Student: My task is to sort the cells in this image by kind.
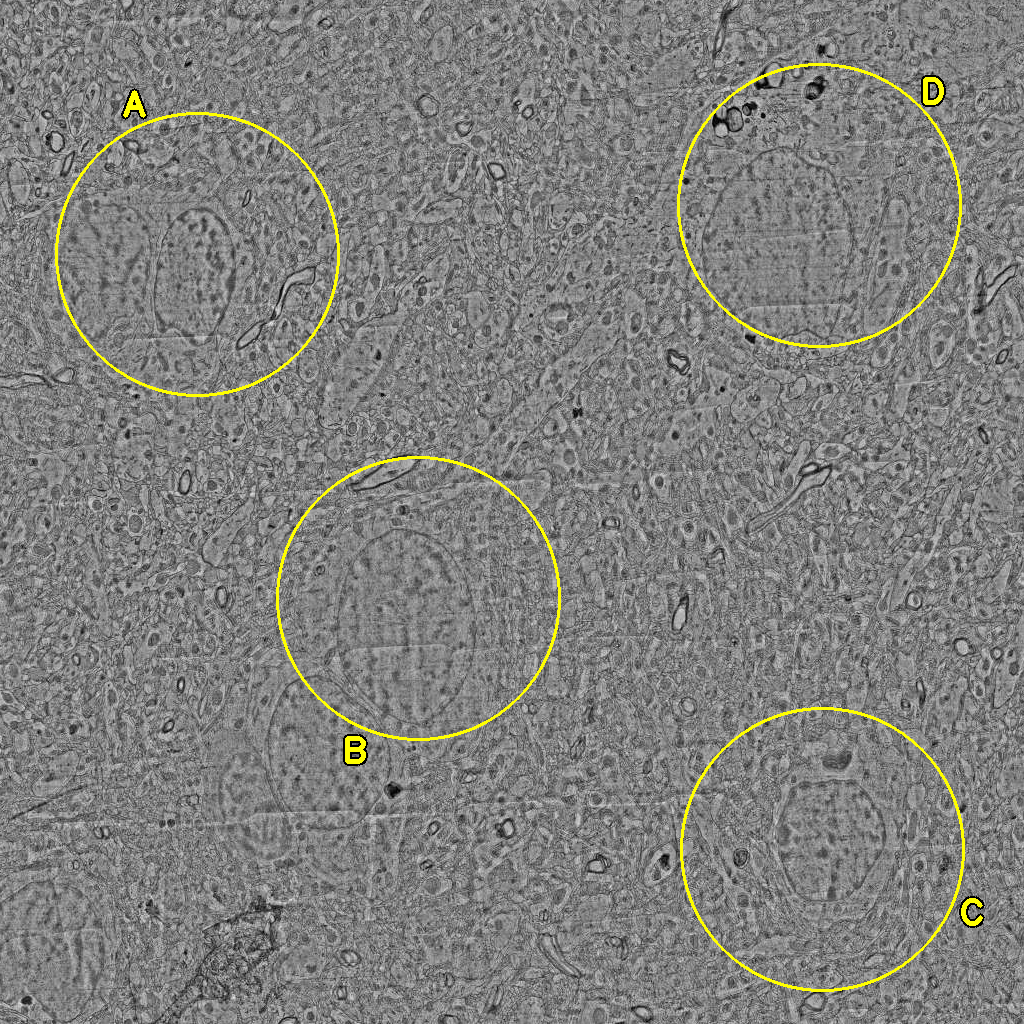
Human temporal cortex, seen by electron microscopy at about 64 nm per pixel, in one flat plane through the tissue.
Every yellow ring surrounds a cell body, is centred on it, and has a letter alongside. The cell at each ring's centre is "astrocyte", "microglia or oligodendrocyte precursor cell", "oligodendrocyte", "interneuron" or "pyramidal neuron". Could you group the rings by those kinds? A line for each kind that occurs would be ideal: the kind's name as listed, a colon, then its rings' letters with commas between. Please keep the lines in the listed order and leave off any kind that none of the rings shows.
microglia or oligodendrocyte precursor cell: A, C
pyramidal neuron: B, D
